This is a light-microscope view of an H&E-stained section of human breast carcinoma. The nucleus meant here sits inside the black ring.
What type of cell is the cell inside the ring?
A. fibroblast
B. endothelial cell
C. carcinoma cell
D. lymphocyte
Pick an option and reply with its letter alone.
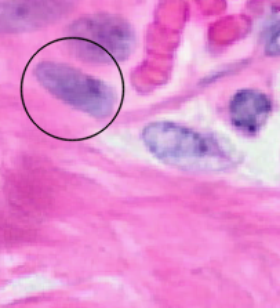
B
